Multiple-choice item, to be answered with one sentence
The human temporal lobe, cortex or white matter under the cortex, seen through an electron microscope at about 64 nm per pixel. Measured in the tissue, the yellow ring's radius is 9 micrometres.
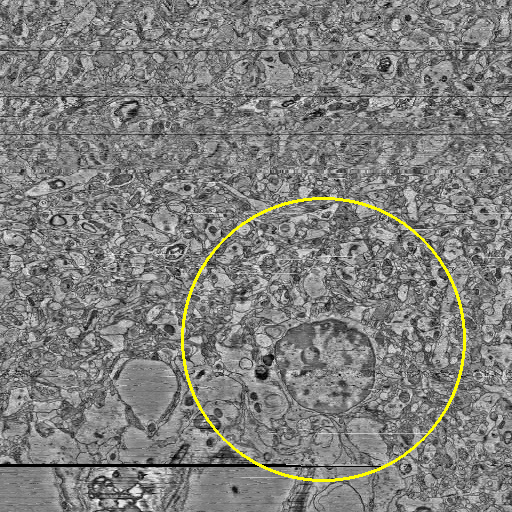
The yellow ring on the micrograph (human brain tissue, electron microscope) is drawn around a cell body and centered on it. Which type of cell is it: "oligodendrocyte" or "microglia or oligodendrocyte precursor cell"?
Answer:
The ring is centered on a microglial cell or oligodendrocyte precursor cell.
